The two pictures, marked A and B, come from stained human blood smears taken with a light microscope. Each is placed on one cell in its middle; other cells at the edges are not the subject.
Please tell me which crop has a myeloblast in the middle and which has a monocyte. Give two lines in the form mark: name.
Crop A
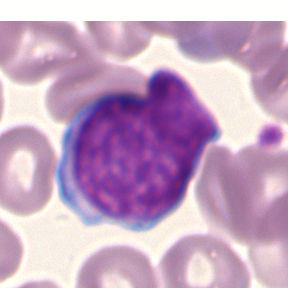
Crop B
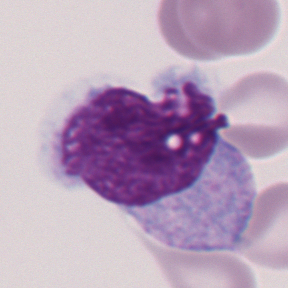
A: myeloblast
B: monocyte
